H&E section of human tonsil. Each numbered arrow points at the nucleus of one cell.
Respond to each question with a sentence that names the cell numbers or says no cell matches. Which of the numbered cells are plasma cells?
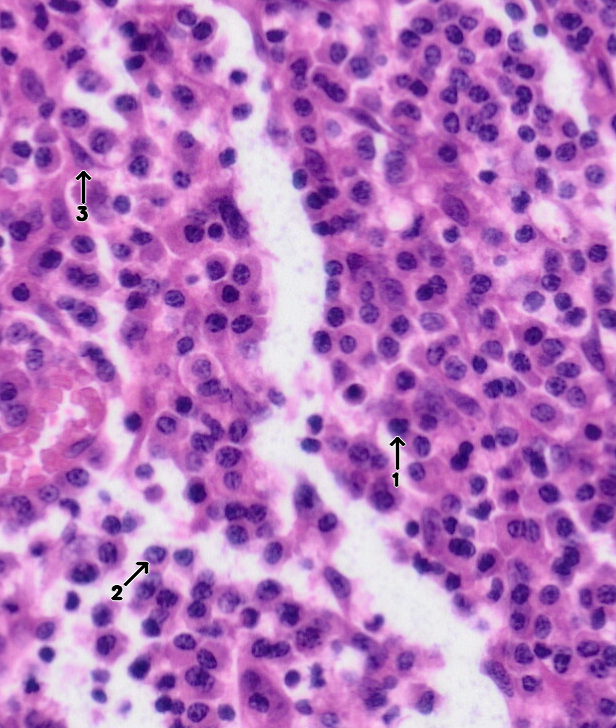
The numbers 1 and 2 mark cells that are plasma cells.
